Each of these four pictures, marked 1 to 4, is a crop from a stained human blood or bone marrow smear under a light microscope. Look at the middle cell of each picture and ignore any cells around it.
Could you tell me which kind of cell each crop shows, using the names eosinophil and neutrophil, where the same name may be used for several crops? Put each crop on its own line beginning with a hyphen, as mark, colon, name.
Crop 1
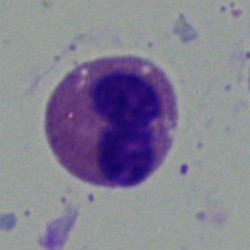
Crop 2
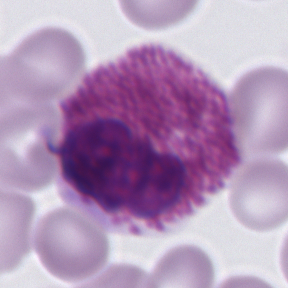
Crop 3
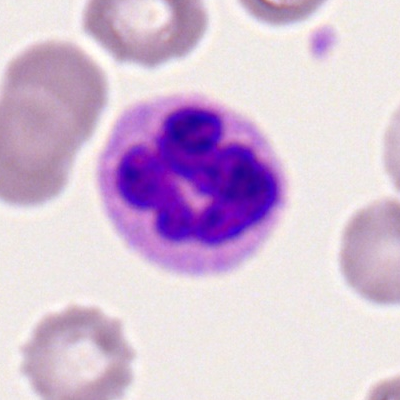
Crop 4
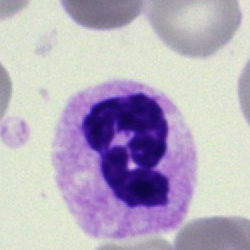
- 1: eosinophil
- 2: eosinophil
- 3: neutrophil
- 4: neutrophil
